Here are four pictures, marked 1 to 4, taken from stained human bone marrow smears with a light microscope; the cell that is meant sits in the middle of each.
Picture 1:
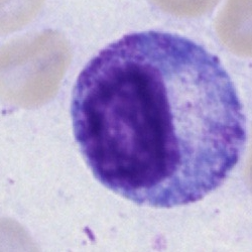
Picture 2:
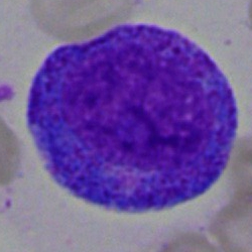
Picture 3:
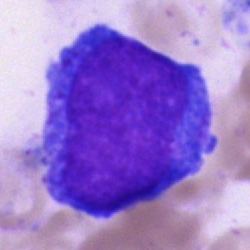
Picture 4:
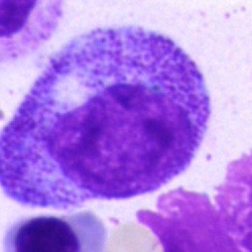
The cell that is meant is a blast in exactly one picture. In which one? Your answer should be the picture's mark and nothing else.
3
